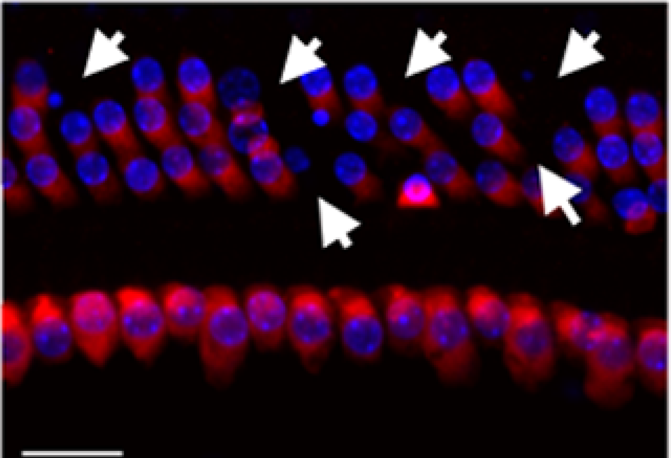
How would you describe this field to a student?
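This surface view of the cochlear sensory epithelium shows rows of outer hair cells above and a row of inner hair cells below, each cell with red cytoplasm and a blue nucleus. The outer rows are disordered, with gaps where hair cells are missing, and some blue nuclei stand without a red cell body around them. One small, brightly red rounded cell stands out among the outer rows. The inner hair cell row below remains continuous.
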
